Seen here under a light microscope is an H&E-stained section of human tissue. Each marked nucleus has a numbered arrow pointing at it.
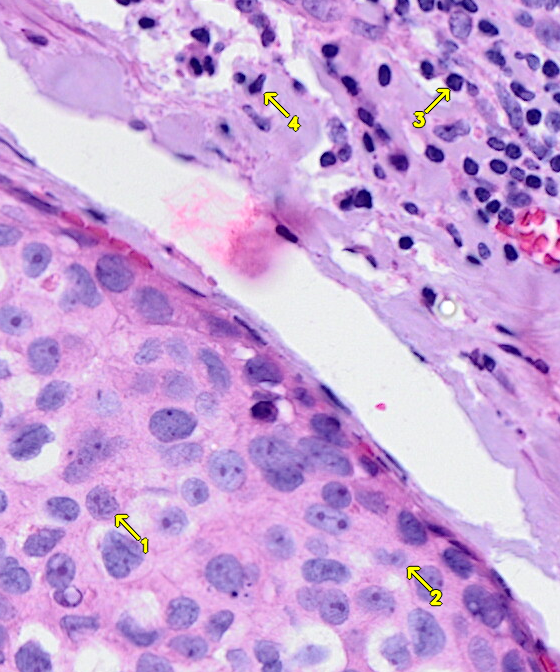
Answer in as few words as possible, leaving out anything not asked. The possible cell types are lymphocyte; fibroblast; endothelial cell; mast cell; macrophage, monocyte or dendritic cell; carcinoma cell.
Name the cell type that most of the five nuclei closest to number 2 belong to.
carcinoma cell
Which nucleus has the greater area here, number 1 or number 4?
1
